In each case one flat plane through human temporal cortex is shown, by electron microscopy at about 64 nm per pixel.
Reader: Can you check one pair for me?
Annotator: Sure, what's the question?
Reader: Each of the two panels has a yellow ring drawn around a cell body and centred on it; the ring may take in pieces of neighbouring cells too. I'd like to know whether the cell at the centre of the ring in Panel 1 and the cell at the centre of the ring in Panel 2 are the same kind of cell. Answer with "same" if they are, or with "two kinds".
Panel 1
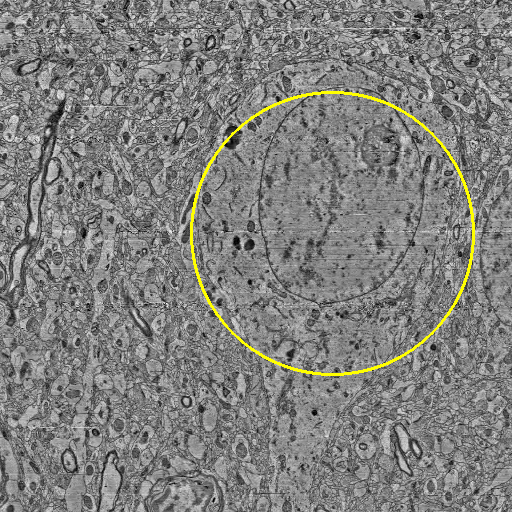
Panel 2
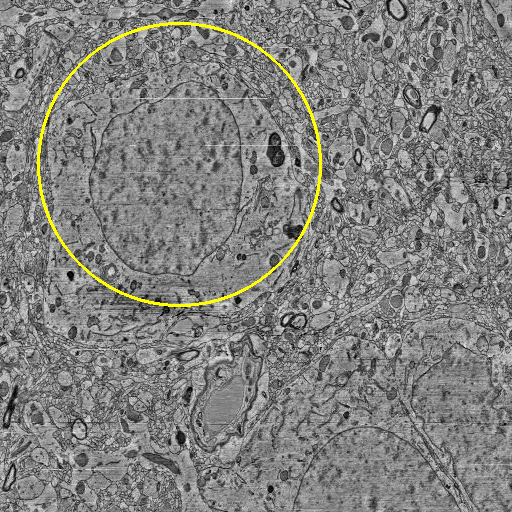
same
